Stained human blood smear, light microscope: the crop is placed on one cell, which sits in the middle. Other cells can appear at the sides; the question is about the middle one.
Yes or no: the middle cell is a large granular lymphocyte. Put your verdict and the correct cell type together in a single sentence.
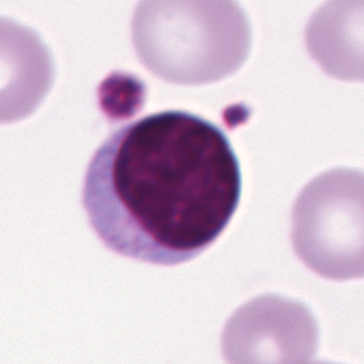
No, the cell placed at the center is a typical lymphocyte rather than a large granular lymphocyte.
